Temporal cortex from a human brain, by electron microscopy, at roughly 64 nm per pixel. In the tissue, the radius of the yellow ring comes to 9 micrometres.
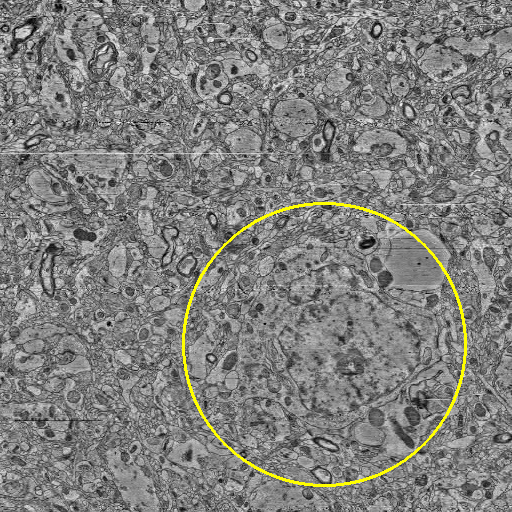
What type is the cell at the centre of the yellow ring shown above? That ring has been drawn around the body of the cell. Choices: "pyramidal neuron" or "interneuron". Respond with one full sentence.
My answer is that an interneuron lies at the centre of the yellow ring above.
